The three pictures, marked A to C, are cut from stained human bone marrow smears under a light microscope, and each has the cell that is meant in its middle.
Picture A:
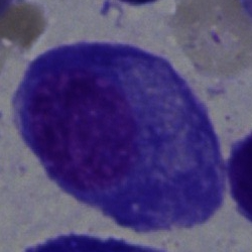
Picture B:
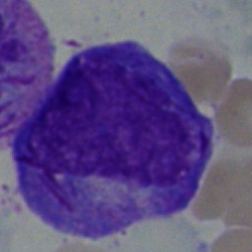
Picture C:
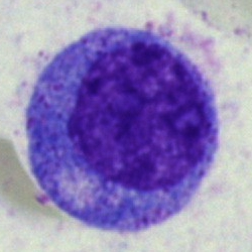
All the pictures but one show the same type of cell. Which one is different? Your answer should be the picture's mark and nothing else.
A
